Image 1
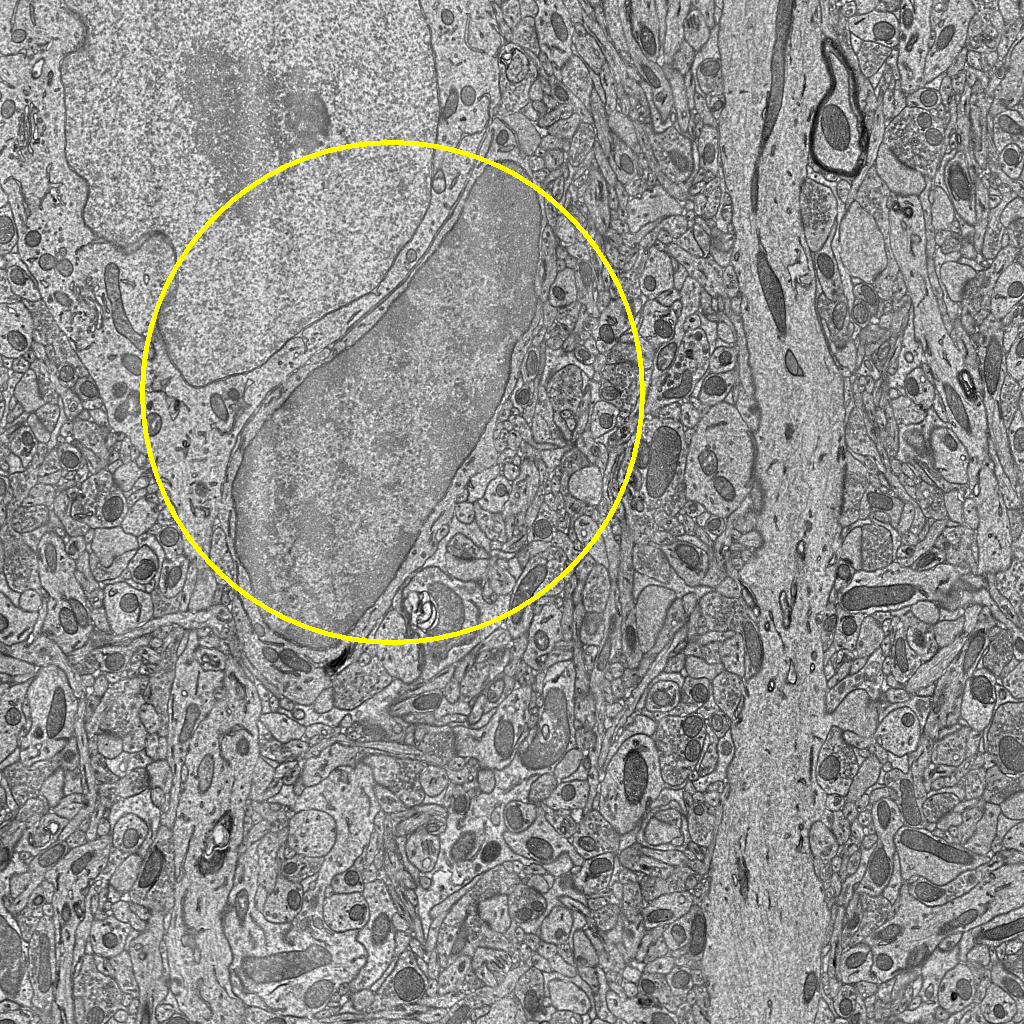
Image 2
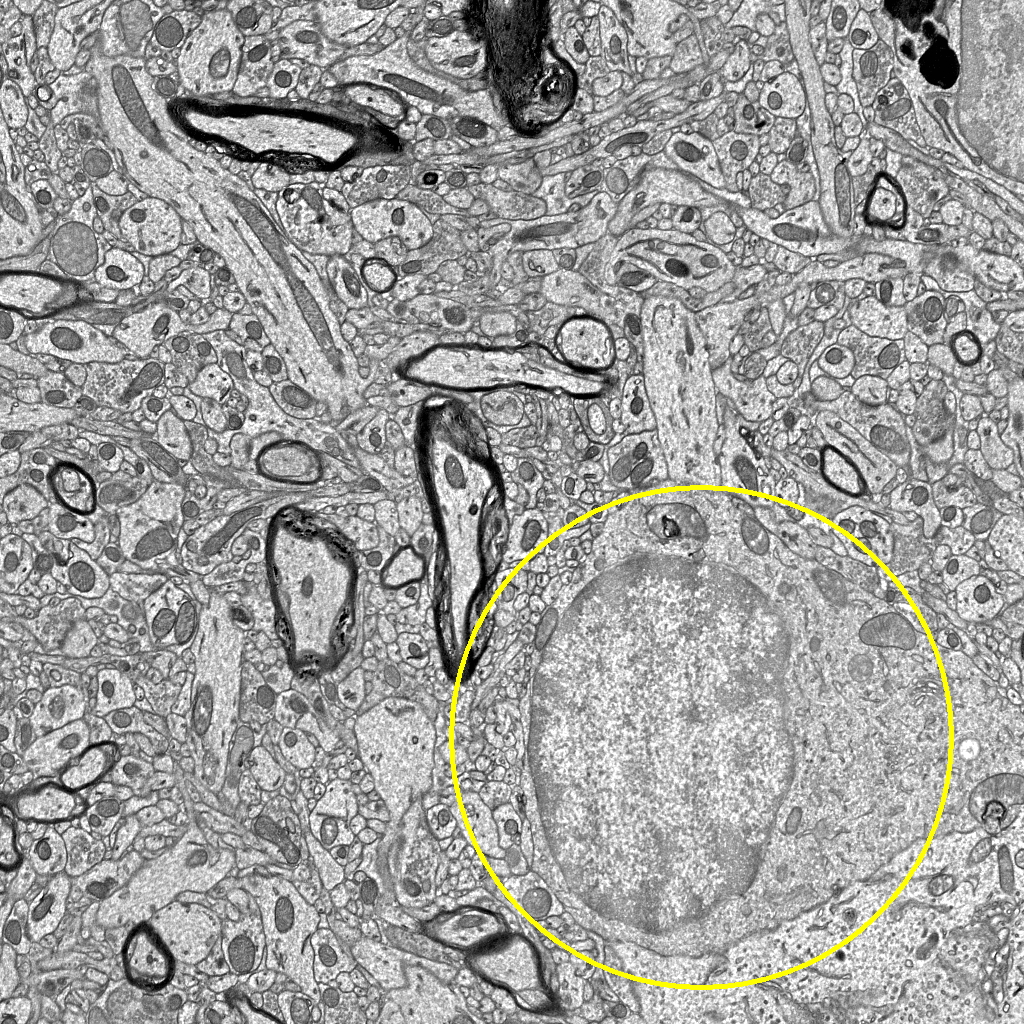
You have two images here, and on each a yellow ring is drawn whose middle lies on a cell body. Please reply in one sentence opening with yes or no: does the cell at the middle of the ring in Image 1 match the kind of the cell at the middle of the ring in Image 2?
No, the two images show cells of two kinds at the centres of their rings.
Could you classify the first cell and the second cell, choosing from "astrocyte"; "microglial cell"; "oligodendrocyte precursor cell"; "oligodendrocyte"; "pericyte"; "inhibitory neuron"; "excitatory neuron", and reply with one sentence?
The cell at the centre of the second ring is an oligodendrocyte; the first ring's cell is a microglial cell.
